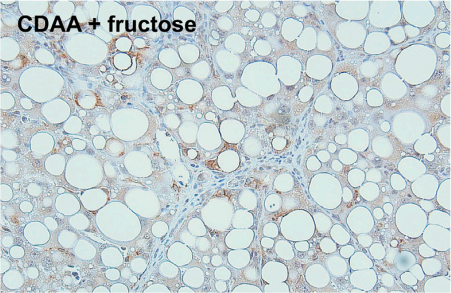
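This is liver tissue in which the hepatocytes are filled and distended by clear, round vacuoles of very different sizes, from small droplets to large ones that push the nucleus aside. Between the vacuolated hepatocytes run thin bands of bluish tissue containing elongated, dark blue nuclei, which join up into a network dividing the tissue into nodules. Small, irregular cells stained brown lie in the narrow spaces between the hepatocytes and along the bands. The background is counterstained pale blue, and few normal-looking hepatocyte cords remain.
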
